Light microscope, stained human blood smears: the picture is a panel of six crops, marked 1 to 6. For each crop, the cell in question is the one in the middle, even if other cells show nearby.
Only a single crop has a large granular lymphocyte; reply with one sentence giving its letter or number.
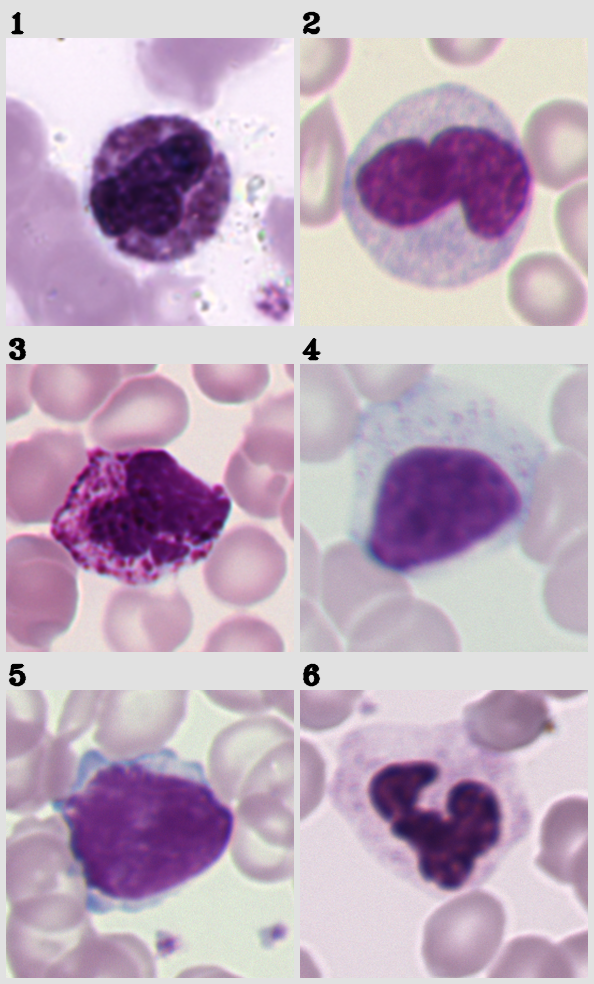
The sole crop showing a large granular lymphocyte is crop 4.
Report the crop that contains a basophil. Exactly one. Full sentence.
Within this set, crop 3 is the one with a basophil at its center.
